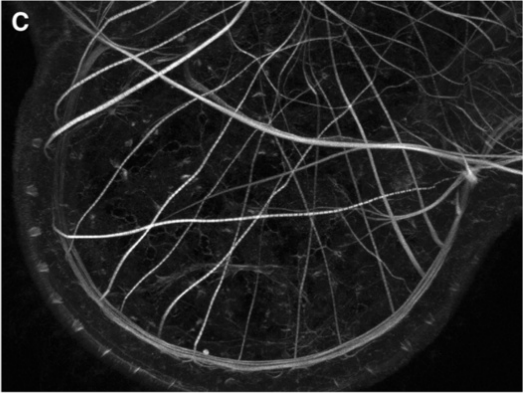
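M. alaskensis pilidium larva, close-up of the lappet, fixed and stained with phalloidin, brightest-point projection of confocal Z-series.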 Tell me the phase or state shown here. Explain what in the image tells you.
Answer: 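Striated. Many thin fibers fan out radially toward the curved margin. Several of these fibers show a regular beaded banding along their length.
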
